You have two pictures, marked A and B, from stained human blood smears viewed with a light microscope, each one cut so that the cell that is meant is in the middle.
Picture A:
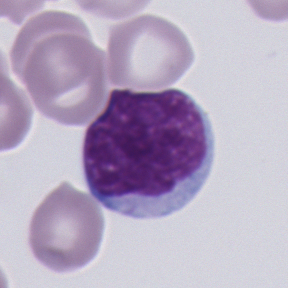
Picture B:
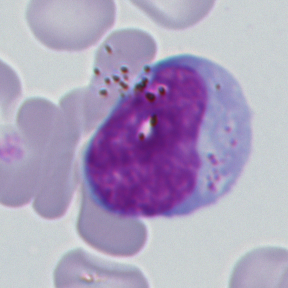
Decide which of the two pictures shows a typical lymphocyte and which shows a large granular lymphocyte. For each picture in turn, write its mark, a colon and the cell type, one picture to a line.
A: typical lymphocyte
B: large granular lymphocyte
